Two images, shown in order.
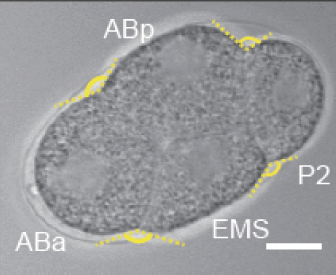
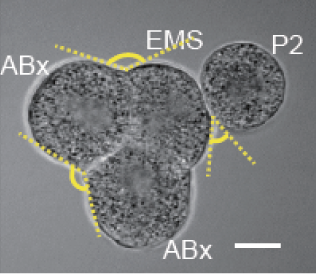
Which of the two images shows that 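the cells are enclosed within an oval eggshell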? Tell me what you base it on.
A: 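The first image. Second image: the four cells are rounded and loosely clustered with no shell around them. First image: the four cells are packed inside a smooth oval outline.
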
